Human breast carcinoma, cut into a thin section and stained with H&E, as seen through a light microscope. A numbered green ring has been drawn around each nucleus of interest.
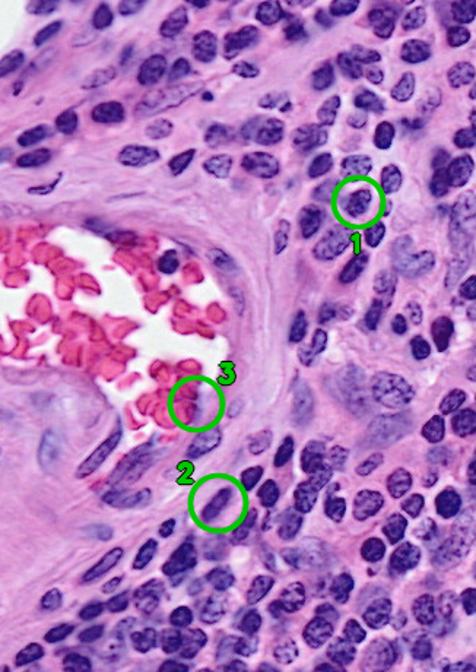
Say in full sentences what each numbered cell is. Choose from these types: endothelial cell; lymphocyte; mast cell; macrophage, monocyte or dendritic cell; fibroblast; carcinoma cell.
Cell 1 is a lymphocyte, cell 2 is a lymphocyte and cell 3 is an endothelial cell.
